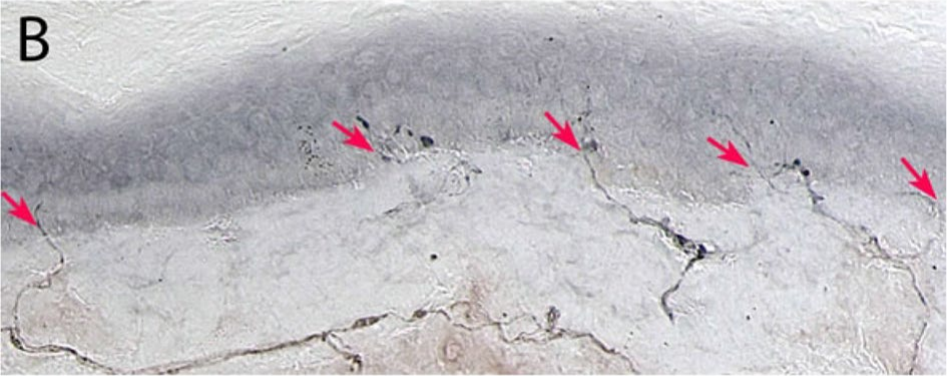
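Skin with a grey stratified epidermis above a pale dermis, nerve fibres stained dark. Thin wavy dark fibres course through the dermis, some running along its lower part. Only a few short fibres cross the dermal-epidermal junction into the lower epidermis, each thin and beaded, some ending in small dark swellings or splitting into two. The fibres are widely spaced, and long stretches of epidermis carry none. The upper epidermis shows faint rounded cell outlines without fibres.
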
